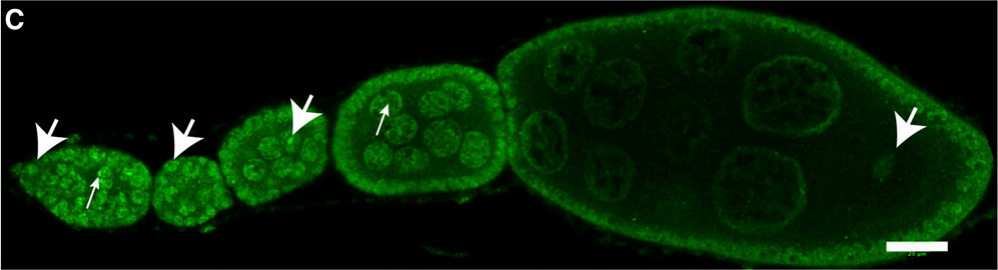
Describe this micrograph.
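A string of egg chambers from the ovaries is seen in green fluorescence, growing in size from left to right. A single layer of small, densely packed cells with small nuclei forms a rim around each chamber. In the largest chamber on the right, the large nuclei are grouped in its left part, while the right part is filled with evenly dim, granular material. Staining is present in all cells, in nuclei as well as more faintly in cytoplasm.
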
